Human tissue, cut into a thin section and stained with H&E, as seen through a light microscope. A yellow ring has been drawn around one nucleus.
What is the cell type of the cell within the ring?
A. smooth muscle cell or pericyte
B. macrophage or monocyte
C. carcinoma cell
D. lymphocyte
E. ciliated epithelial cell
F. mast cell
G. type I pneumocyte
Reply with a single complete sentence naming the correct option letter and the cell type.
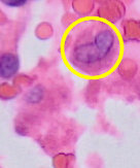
Option B holds, since the cell within the ring is a macrophage or monocyte.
